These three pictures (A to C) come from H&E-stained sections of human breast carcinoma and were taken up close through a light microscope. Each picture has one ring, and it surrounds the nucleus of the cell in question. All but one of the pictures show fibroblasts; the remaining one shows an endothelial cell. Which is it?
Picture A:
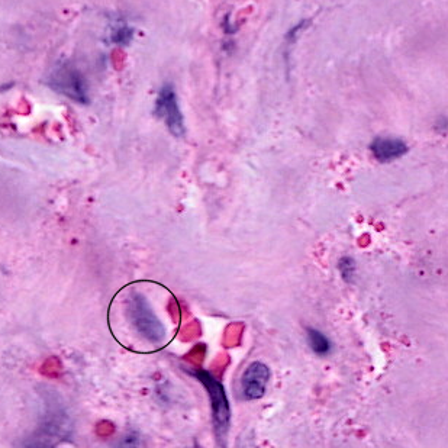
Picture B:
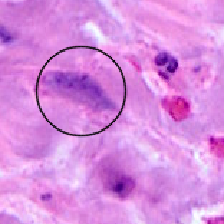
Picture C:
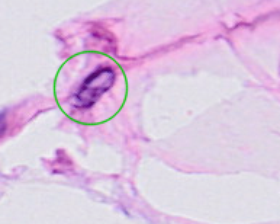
A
